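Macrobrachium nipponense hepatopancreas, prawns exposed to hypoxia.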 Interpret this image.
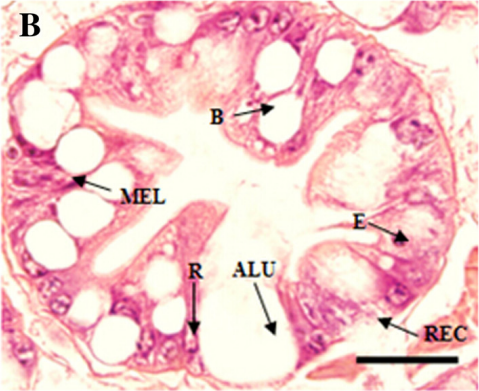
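Hepatopancreatic tubule in cross section whose tubular epithelial cells are filled with many large, round, clear vacuoles. The vacuoles crowd around an irregular star-shaped lumen that is widened in one part. Cytoplasm between the vacuoles stains pink and small purple nuclei lie within the epithelium. Some epithelial cells look broken, with their contents bordering the lumen.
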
